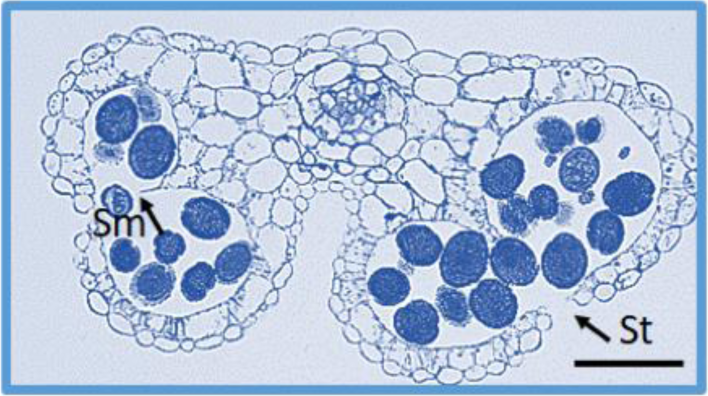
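This is a cross-section of an anther with pollen-filled locules on either side of a central connective of larger pale parenchyma cells. The pollen grains are numerous, round and densely stained deep blue, packed inside the locules. On the right side the two locules have run together into one chamber, with a gap in the wall at the stomium. On the left, a thin remnant of the septum sits between the two locules.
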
